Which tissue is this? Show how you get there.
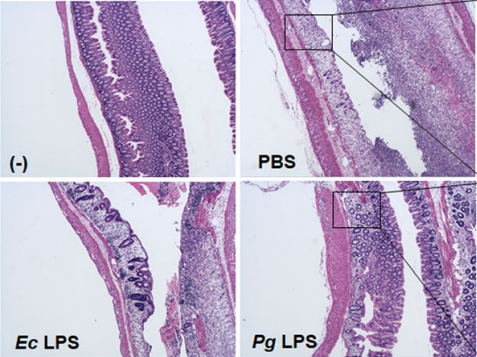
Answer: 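Colon. Tubular glands open toward a lumen in a mucosal layer. A pink smooth muscle layer runs along the outer side of the wall. No villi are seen.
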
